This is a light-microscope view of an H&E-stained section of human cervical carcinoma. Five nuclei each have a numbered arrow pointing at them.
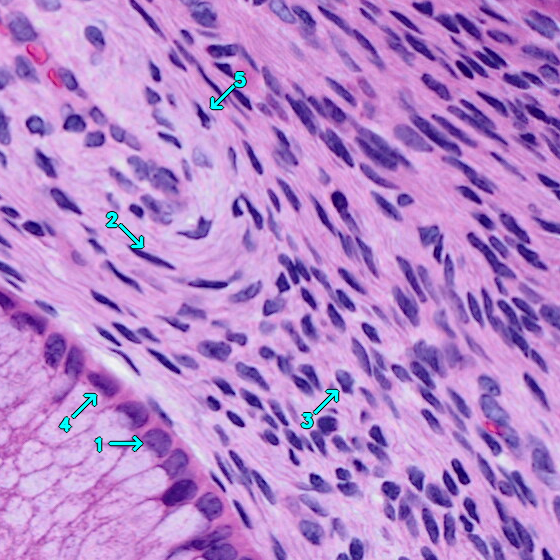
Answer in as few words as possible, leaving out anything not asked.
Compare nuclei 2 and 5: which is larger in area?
2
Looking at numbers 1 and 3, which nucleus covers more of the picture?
1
